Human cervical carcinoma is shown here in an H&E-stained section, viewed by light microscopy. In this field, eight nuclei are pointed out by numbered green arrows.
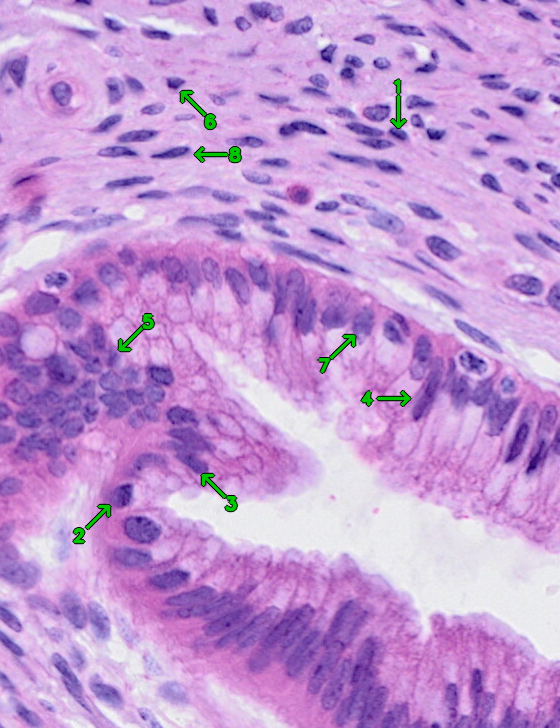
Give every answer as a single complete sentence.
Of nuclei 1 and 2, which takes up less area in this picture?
Nucleus 1 is the smaller one; nucleus 2 covers about 2.5 times its area.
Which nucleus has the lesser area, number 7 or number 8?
Nucleus 8 covers less area, with nucleus 7 about 1.5 times as large.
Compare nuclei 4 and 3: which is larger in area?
Nucleus 4 is the larger one, covering about 2 times the area of nucleus 3.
